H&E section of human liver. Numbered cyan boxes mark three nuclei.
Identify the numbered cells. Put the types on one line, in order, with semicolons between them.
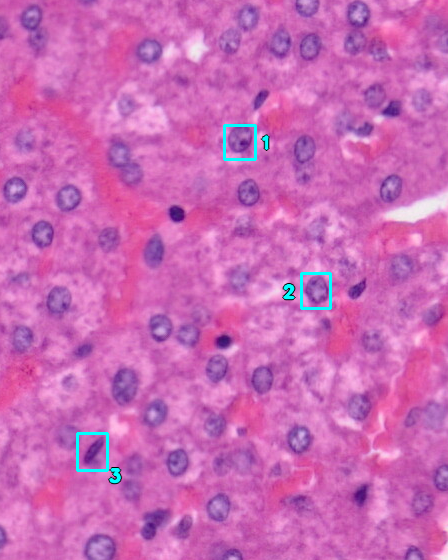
hepatocyte; hepatocyte; fibroblast or stellate cell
